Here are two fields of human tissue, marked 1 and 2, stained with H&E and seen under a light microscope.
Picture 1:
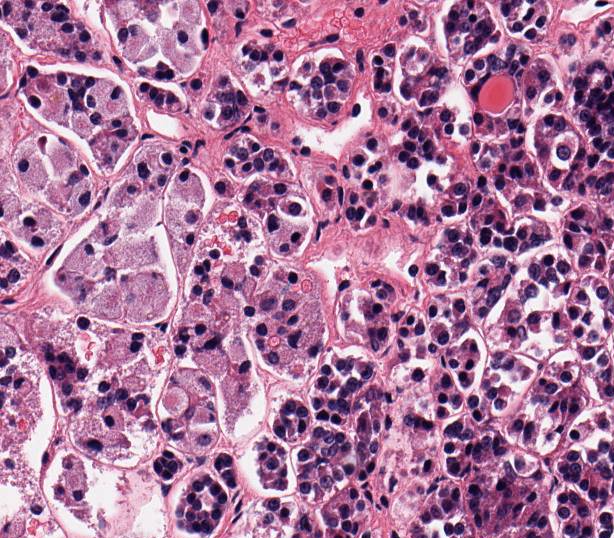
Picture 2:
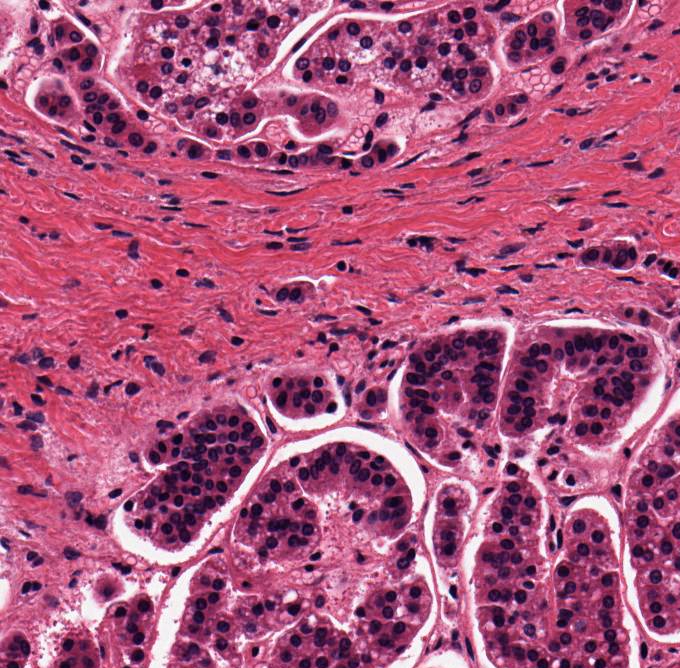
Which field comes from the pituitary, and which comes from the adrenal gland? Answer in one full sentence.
It is picture 1 that comes from the pituitary, and picture 2 that comes from the adrenal gland.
